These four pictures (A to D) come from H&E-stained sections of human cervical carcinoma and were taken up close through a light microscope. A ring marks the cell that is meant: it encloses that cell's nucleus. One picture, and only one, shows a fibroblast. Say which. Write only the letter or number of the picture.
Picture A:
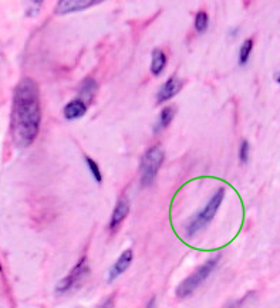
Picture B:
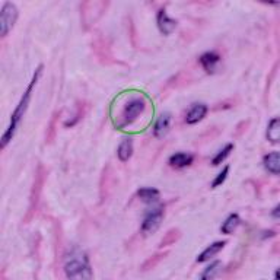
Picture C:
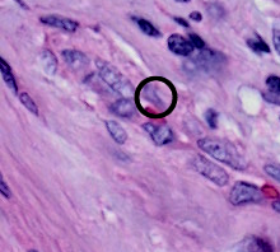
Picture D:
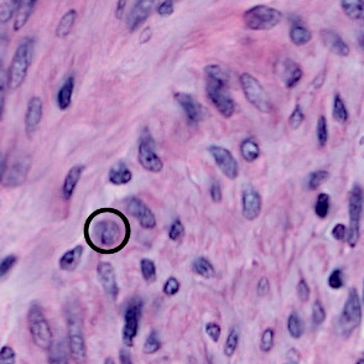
A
